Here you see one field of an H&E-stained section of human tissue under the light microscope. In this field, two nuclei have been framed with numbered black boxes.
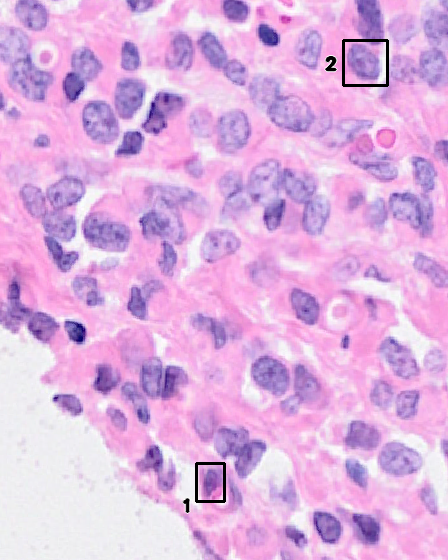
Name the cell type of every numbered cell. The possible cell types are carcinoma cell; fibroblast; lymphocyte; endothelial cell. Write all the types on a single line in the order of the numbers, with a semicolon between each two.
endothelial cell; carcinoma cell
